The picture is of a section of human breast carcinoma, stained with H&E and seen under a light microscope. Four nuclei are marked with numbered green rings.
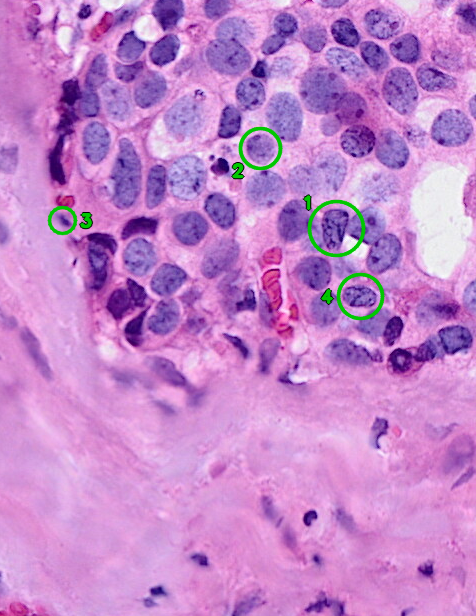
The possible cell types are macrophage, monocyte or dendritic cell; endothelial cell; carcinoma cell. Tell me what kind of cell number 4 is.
carcinoma cell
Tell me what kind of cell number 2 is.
carcinoma cell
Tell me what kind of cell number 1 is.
carcinoma cell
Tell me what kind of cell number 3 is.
endothelial cell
